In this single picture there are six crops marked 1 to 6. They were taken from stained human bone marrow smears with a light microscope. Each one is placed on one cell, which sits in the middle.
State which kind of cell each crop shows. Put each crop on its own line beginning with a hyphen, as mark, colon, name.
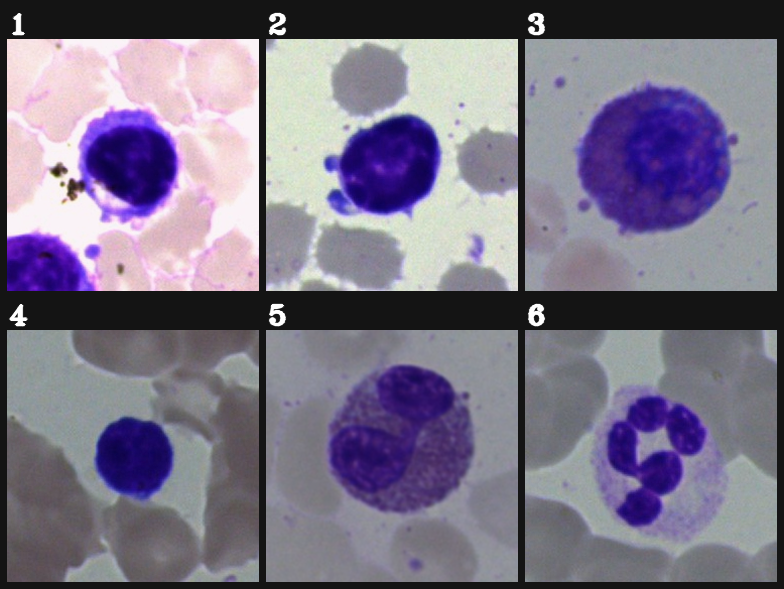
- 1: lymphocyte
- 2: lymphocyte
- 3: eosinophil
- 4: lymphocyte
- 5: eosinophil
- 6: neutrophil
